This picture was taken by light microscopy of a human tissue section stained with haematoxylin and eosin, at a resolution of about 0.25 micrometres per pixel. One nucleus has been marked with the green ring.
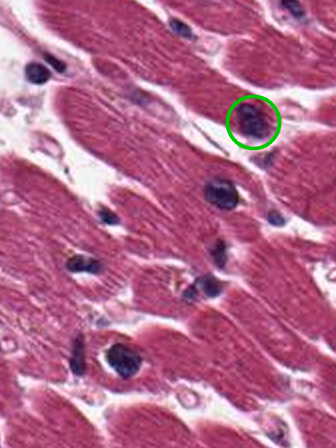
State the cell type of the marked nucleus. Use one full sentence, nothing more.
In this picture it is a cardiomyocyte whose nucleus is marked.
